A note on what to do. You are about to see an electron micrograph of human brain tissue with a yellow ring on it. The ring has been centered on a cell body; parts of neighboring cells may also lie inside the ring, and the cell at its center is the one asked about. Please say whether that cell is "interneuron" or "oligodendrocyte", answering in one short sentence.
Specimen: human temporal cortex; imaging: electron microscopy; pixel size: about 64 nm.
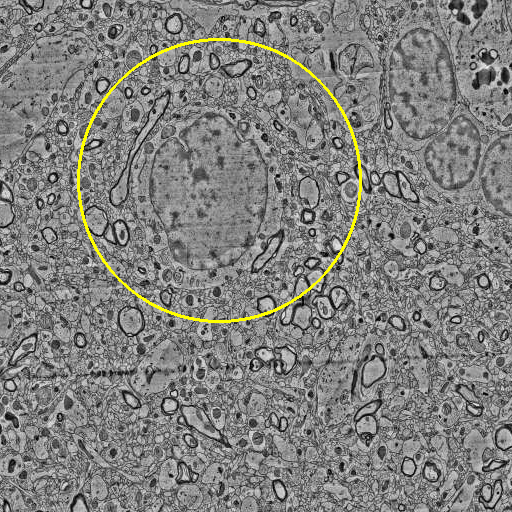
The yellow ring sits on an interneuron.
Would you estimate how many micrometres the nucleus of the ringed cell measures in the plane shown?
The nucleus appears roughly 10 by 8 micrometres in this plane.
